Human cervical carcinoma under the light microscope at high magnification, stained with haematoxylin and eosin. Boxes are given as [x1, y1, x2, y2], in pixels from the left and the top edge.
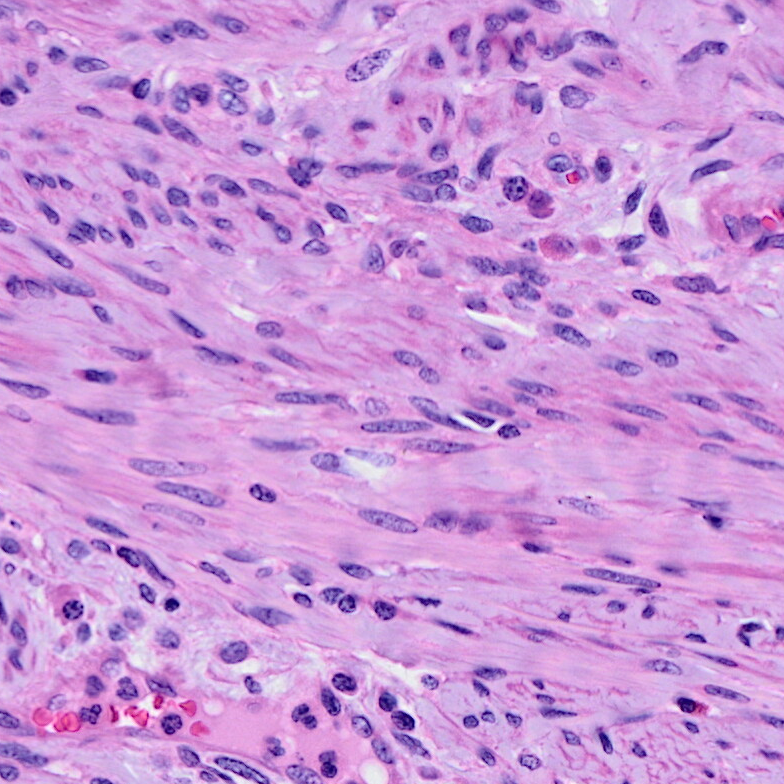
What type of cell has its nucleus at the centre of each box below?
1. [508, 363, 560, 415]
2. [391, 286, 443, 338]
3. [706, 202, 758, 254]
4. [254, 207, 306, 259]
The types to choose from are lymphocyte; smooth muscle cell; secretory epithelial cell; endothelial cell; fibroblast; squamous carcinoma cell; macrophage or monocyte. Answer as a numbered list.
1. smooth muscle cell
2. smooth muscle cell
3. endothelial cell
4. smooth muscle cell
